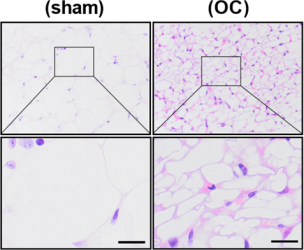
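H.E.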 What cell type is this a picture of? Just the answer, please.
Adipocyte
